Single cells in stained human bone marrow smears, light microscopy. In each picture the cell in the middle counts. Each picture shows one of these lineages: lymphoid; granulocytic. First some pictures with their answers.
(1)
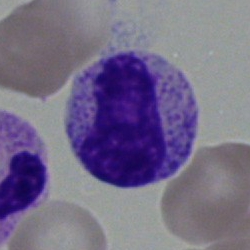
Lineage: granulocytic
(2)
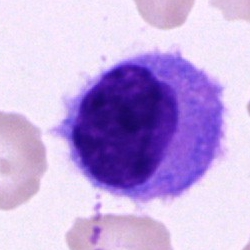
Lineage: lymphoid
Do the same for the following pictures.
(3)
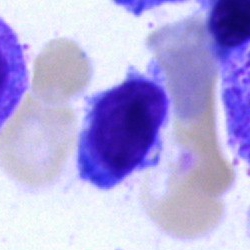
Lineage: lymphoid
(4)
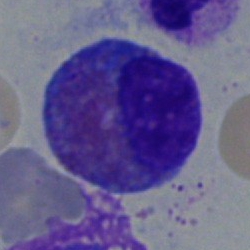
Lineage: granulocytic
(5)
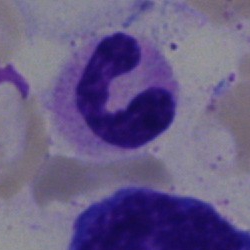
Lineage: granulocytic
